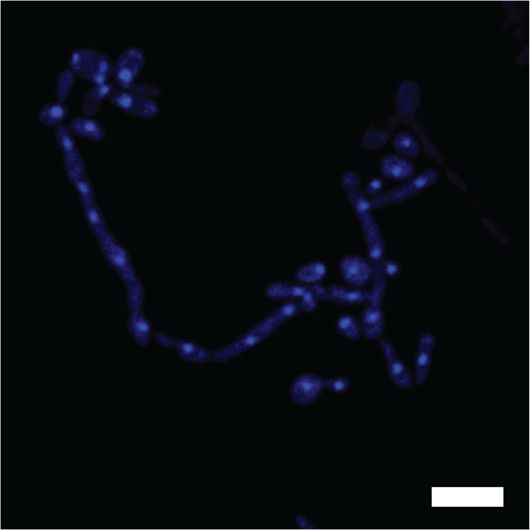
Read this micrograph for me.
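Yeast cells grow as long, branching chains of elongated cells instead of separate round buds, outlined by faint blue fluorescence. Bright blue nuclei are strung along the filaments at intervals, several within a single elongated stretch, while rounder cells cluster at branch points and at the ends.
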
